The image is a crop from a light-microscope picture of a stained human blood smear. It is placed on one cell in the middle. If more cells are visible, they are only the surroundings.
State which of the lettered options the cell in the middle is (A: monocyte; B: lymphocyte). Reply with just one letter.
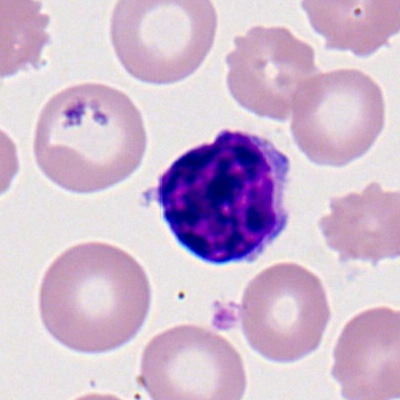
B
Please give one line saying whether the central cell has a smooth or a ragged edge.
This cell has an uneven outline, either ragged or bearing projections.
